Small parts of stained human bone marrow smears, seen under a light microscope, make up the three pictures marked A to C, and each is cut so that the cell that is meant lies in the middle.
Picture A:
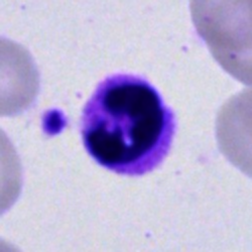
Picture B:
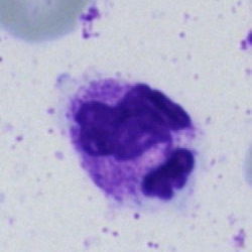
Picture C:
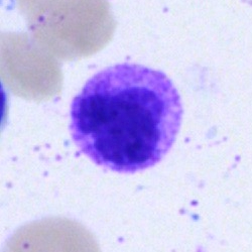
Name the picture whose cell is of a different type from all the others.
C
